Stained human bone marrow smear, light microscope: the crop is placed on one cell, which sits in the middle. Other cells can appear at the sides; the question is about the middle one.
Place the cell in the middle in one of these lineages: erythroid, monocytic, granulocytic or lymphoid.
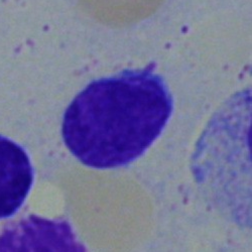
lymphoid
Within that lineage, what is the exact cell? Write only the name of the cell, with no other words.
lymphocyte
